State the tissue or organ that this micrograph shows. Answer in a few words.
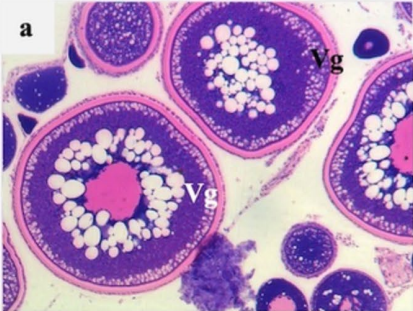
ovaries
